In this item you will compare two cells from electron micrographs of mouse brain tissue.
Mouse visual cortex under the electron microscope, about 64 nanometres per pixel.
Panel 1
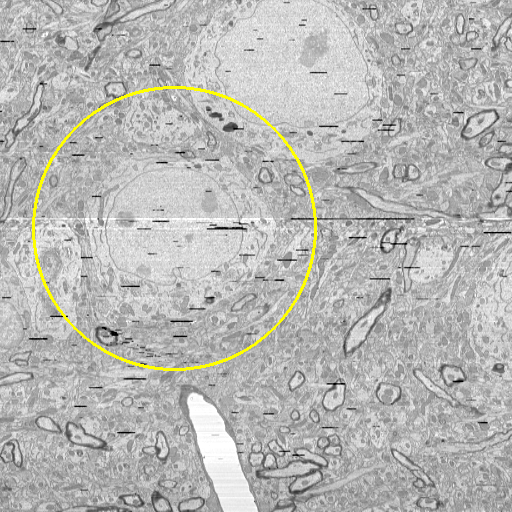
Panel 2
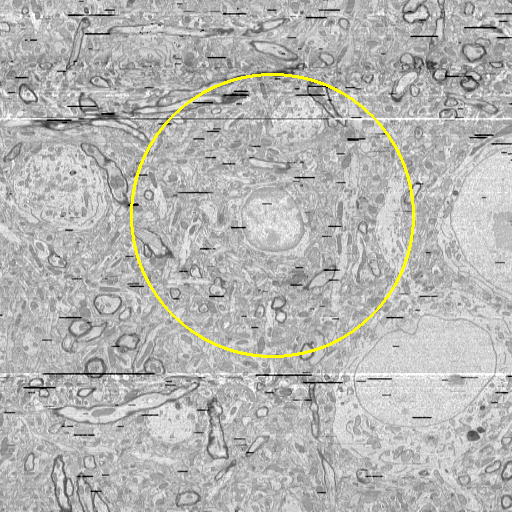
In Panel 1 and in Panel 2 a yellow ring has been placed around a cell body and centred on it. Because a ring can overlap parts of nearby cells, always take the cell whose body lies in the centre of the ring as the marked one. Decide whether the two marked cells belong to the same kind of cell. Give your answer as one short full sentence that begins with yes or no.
No, the two marked cells belong to two kinds of cell.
